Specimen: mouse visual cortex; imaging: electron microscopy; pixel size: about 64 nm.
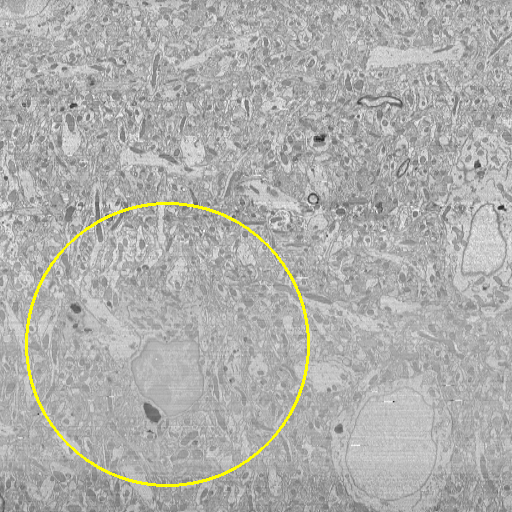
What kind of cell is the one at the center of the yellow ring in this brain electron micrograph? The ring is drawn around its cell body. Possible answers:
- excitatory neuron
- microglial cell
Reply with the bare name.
microglial cell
